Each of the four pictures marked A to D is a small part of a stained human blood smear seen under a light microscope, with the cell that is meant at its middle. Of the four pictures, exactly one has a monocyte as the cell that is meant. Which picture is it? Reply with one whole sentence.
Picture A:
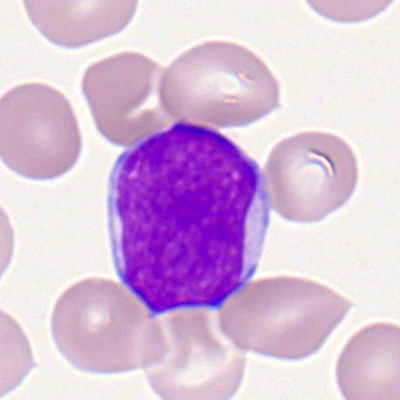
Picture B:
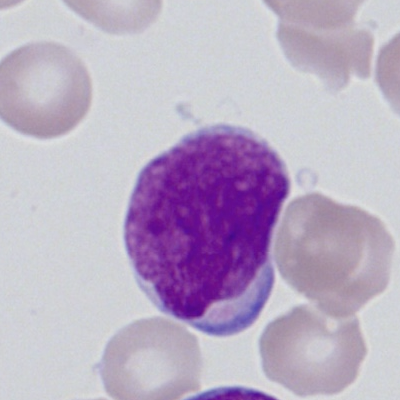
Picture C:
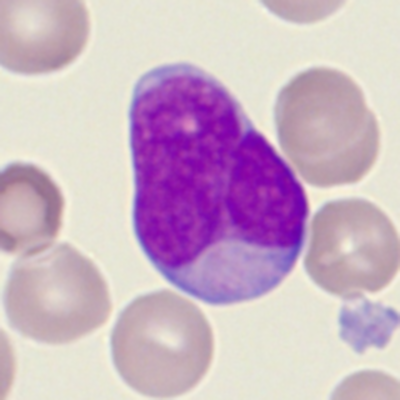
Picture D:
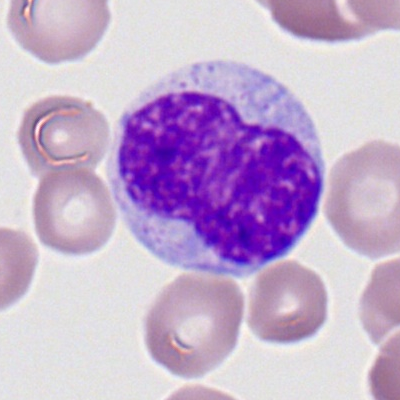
The monocyte is the one in picture D.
